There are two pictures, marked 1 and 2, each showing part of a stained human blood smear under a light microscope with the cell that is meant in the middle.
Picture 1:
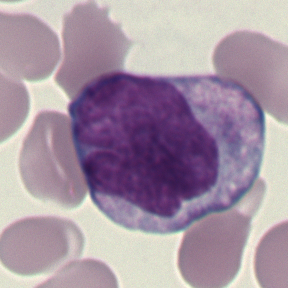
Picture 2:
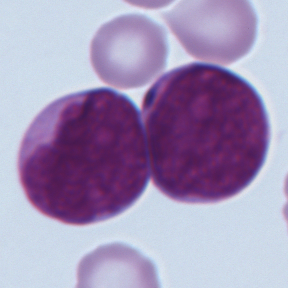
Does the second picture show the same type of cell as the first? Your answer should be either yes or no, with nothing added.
no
